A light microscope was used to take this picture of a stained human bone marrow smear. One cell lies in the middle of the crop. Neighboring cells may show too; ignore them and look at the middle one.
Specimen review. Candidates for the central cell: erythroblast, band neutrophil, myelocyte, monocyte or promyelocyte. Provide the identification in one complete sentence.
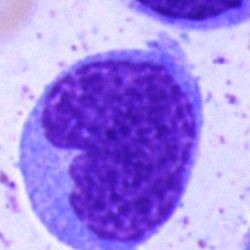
The cell centred in this crop is categorized as a monocyte.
